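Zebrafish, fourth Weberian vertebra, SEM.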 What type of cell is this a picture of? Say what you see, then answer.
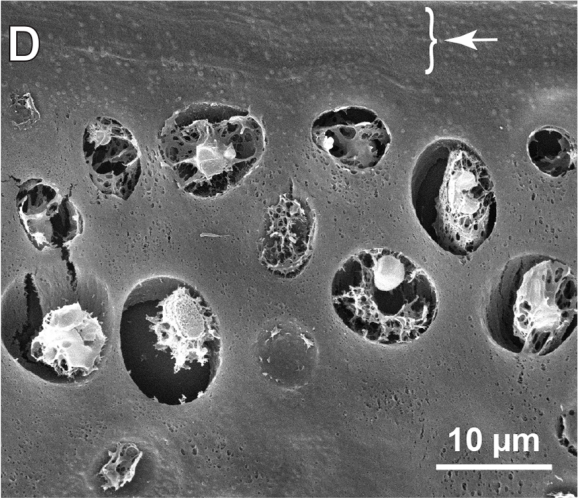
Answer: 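Chondrocytes. Oval cavities are scattered through a smooth, dense matrix.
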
